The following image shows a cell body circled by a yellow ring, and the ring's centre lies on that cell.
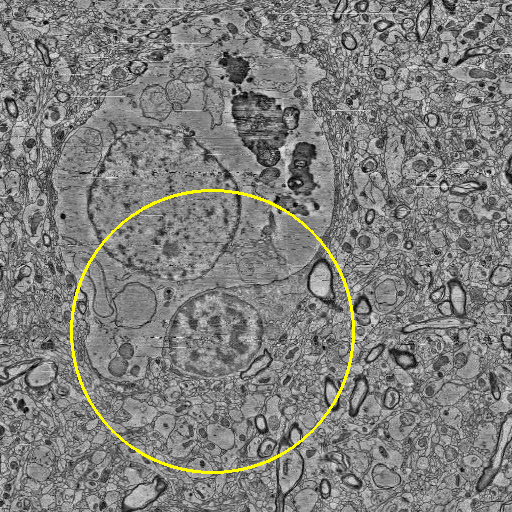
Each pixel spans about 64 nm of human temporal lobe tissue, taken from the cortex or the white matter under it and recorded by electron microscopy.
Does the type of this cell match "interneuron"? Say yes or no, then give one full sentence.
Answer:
No, the cell at the ring's centre in this picture has a different type.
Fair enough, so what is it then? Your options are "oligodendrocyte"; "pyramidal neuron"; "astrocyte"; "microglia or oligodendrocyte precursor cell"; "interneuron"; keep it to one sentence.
This picture has an oligodendrocyte at the centre of its ring.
